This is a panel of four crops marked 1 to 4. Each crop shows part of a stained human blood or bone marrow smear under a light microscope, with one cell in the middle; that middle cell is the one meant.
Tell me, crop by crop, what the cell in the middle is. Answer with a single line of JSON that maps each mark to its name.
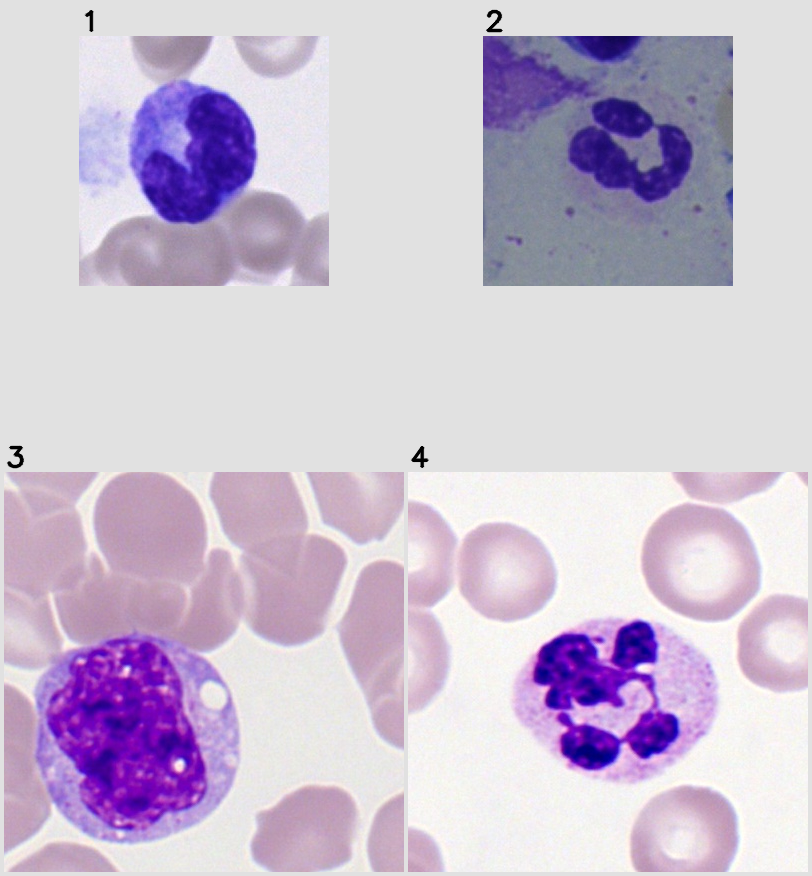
{"1": "monocyte", "2": "neutrophil", "3": "monocyte", "4": "neutrophil"}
